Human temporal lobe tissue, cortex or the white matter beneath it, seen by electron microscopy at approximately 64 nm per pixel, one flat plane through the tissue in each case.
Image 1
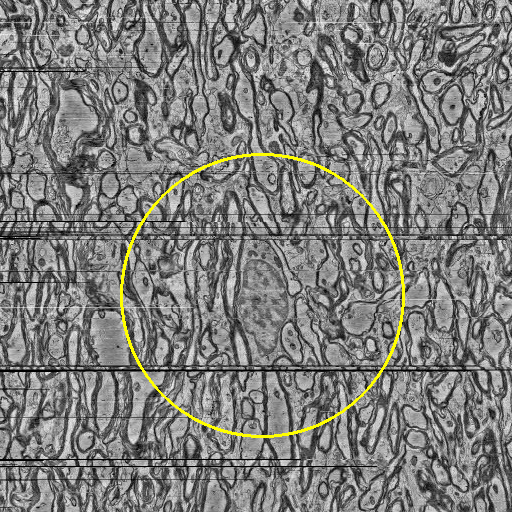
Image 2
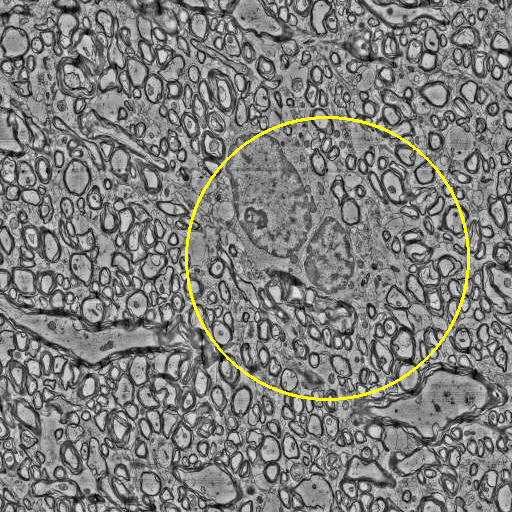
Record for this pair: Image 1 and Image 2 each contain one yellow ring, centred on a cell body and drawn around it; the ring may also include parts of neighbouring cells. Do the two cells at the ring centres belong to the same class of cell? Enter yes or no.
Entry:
yes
